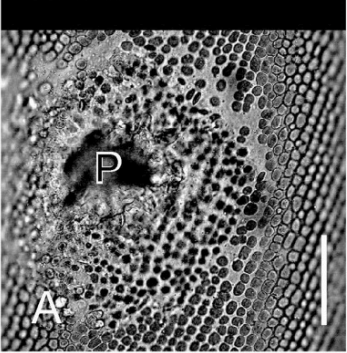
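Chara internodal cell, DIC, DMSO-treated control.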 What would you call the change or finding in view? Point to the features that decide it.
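Healed puncture wounds. Around it the regular rows of small round bodies are disturbed. Further out the rows of round bodies are orderly.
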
